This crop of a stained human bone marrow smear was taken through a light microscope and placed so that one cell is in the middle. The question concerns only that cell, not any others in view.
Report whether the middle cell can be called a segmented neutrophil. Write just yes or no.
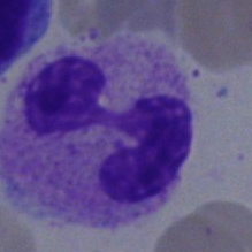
yes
